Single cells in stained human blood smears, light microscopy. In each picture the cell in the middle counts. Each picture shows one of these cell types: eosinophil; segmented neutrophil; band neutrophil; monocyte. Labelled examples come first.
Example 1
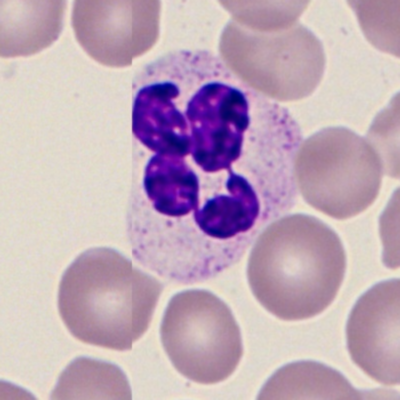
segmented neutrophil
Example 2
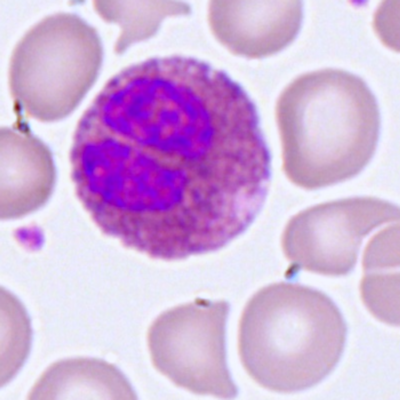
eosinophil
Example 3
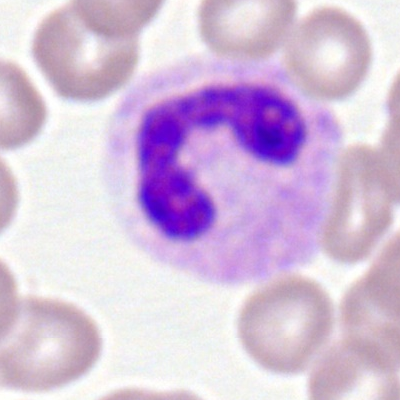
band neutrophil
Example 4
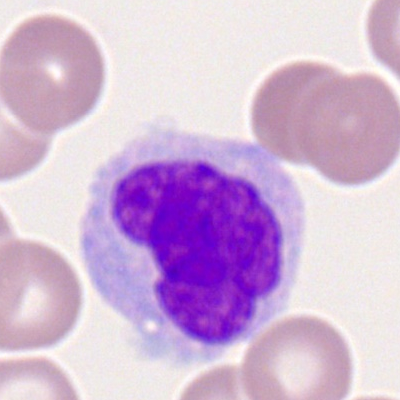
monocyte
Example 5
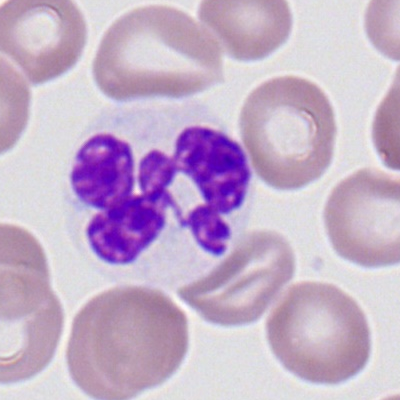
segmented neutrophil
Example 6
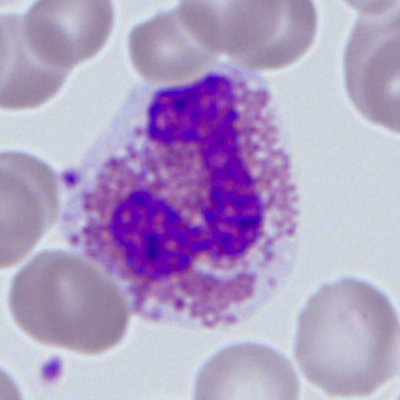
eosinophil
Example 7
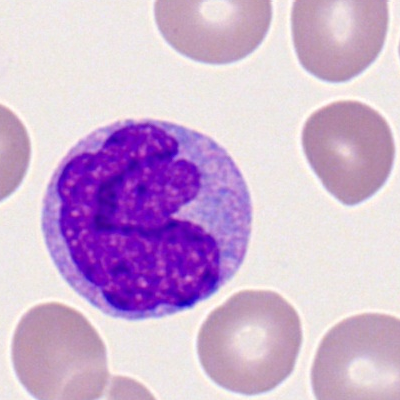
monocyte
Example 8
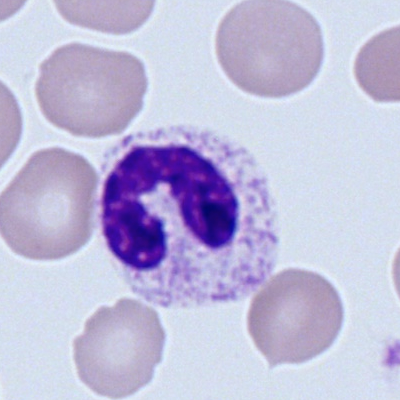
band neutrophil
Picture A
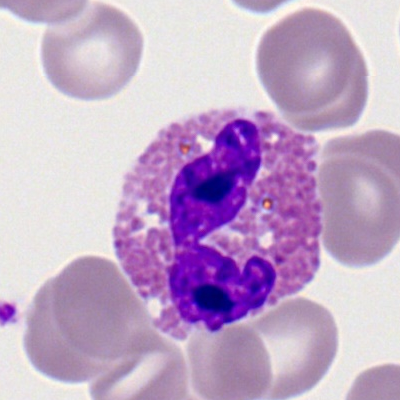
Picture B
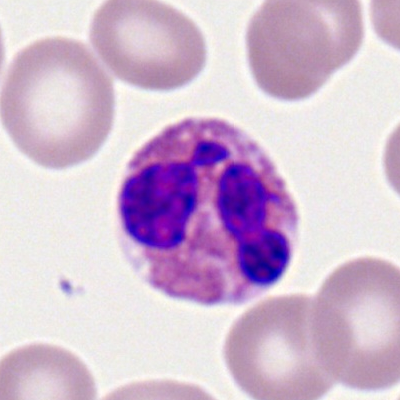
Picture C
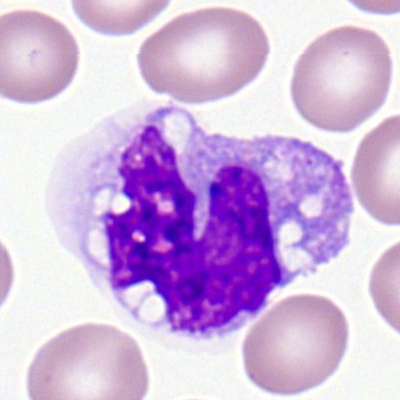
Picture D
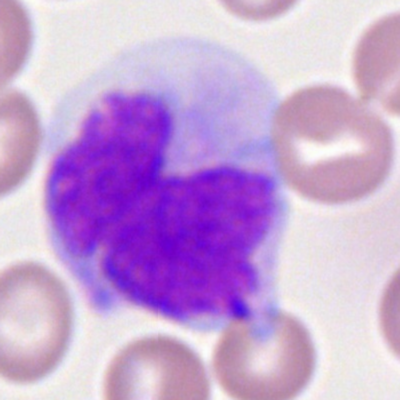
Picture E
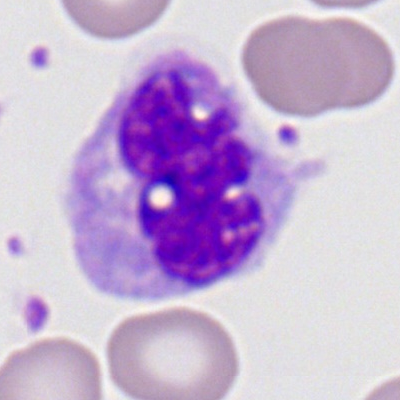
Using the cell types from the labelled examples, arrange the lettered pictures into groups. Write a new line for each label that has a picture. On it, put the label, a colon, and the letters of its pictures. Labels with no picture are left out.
eosinophil: A, B
monocyte: C, D, E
